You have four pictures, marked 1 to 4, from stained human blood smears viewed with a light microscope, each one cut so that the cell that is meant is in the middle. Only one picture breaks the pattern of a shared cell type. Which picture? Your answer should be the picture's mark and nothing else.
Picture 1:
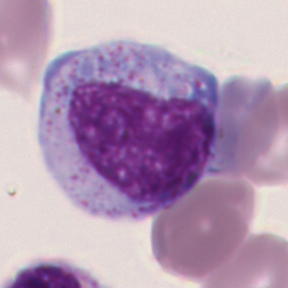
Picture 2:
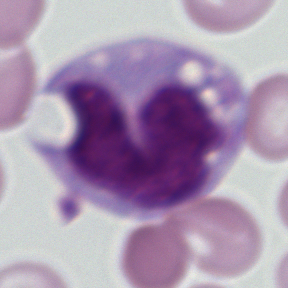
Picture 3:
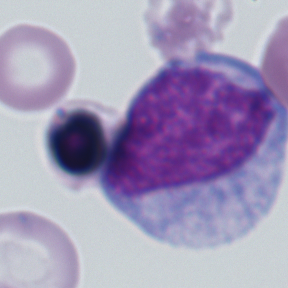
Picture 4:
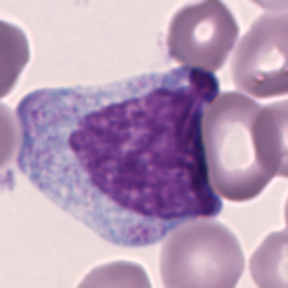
2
